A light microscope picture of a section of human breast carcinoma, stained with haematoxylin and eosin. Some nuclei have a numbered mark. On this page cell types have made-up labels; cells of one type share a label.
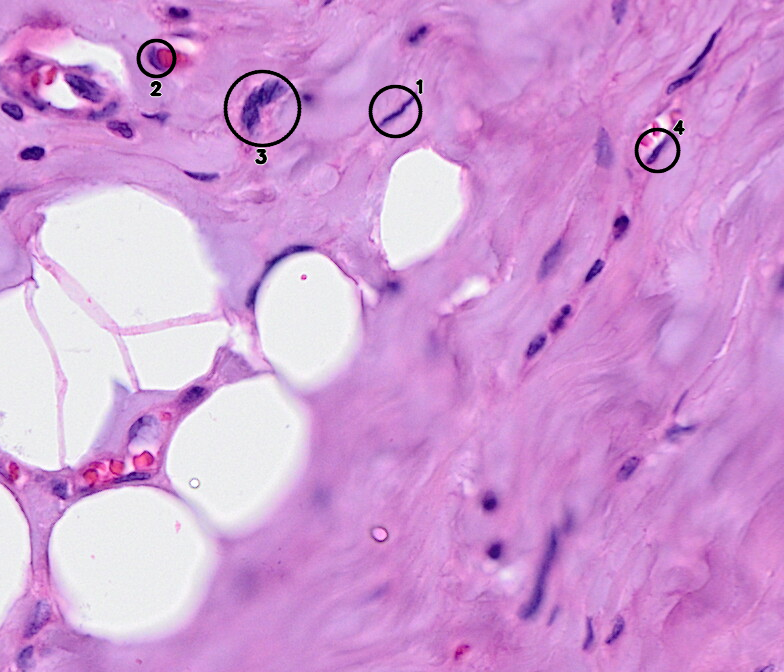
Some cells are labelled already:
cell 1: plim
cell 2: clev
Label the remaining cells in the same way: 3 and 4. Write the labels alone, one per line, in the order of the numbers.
plim
clev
